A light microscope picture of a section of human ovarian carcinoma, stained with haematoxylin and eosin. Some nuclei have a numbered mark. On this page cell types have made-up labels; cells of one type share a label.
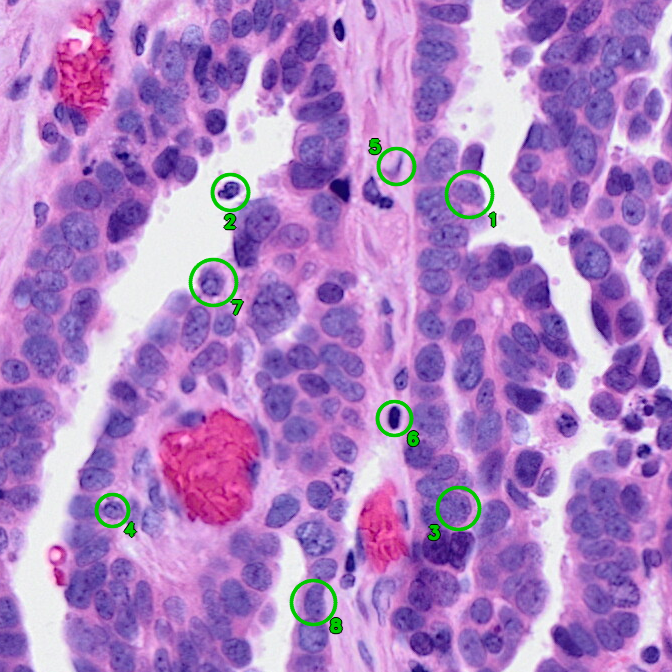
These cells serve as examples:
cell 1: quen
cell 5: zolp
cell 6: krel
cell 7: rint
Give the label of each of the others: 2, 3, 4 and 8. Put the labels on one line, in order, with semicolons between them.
krel; quen; rint; quen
